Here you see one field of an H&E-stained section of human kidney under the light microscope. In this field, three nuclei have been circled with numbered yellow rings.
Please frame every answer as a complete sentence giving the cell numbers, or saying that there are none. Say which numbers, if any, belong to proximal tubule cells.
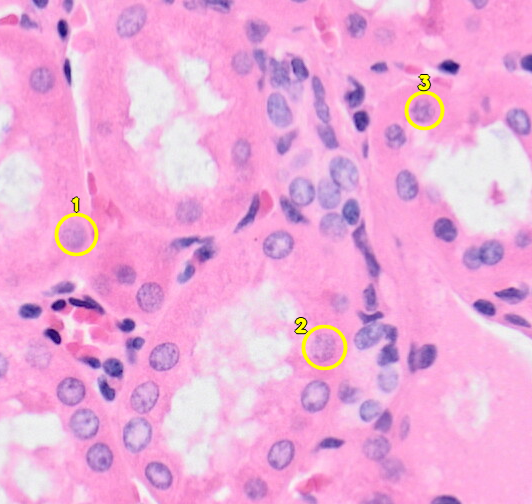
The cells which carry the numbers 1 and 2 are proximal tubule cells.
